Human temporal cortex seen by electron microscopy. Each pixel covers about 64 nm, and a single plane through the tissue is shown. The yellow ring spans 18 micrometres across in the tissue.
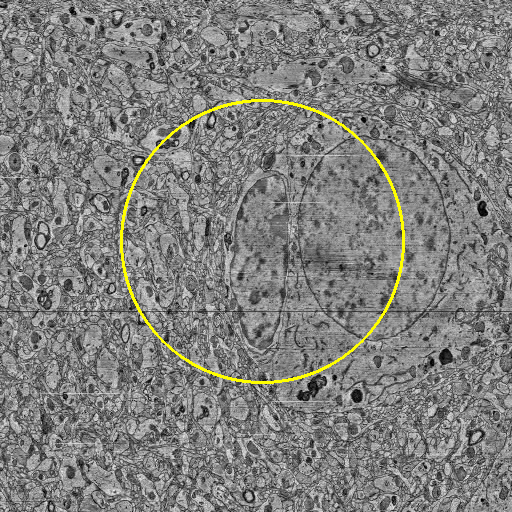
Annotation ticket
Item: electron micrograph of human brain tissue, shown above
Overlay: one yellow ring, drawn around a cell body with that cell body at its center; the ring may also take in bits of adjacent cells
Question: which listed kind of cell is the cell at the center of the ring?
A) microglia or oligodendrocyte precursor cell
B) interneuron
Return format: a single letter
A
